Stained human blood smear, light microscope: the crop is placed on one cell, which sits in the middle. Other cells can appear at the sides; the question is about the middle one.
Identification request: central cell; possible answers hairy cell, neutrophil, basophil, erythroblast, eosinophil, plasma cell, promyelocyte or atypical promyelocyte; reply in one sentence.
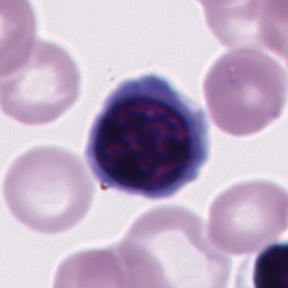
The cell at the heart of this crop is an erythroblast.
